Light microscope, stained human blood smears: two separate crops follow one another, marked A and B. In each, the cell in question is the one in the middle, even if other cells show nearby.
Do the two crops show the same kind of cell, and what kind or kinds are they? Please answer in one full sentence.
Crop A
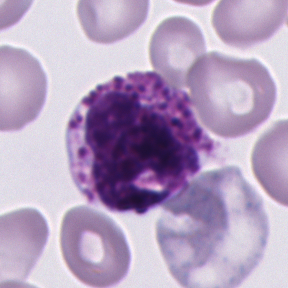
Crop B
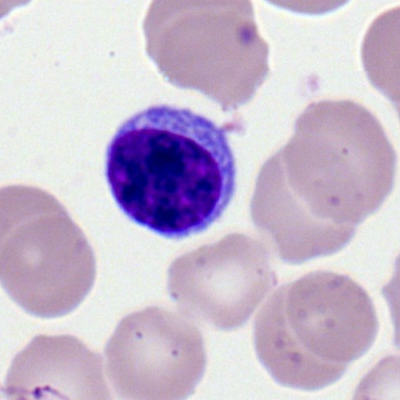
No, on this set crop A shows a basophil and crop B shows a lymphocyte.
